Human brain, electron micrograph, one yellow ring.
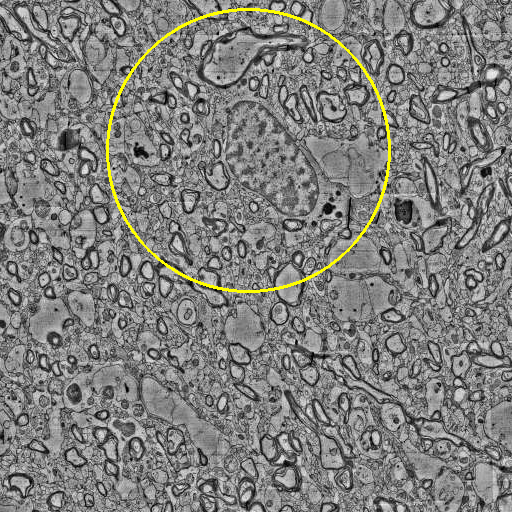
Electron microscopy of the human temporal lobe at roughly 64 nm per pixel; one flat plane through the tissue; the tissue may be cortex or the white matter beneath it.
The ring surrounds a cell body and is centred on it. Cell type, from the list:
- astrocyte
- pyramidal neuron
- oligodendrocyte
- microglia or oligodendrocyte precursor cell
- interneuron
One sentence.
The yellow ring circles an oligodendrocyte.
